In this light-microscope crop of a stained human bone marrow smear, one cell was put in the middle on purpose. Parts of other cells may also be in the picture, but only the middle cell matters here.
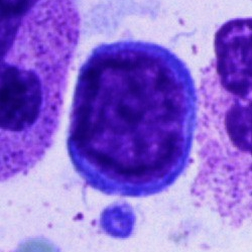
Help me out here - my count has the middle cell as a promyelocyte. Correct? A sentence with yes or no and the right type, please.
No, what occupies the middle of the crop is a proerythroblast and not a promyelocyte.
